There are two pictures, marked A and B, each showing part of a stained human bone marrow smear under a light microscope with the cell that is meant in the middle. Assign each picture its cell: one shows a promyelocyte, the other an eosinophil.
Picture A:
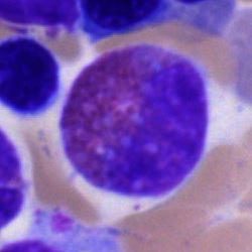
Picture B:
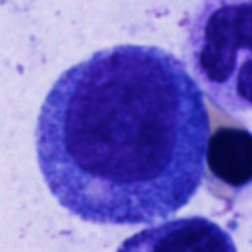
A: eosinophil
B: promyelocyte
